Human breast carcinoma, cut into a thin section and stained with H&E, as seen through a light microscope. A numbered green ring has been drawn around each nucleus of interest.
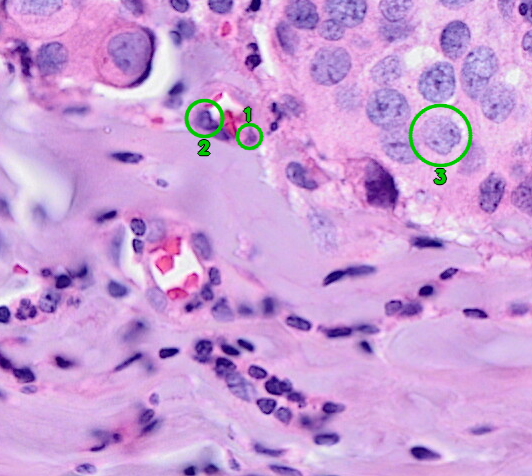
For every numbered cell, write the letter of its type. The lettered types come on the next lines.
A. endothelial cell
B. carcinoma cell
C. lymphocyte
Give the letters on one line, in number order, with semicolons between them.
A; A; B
